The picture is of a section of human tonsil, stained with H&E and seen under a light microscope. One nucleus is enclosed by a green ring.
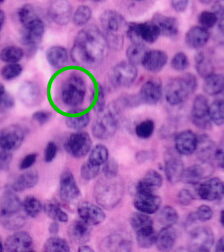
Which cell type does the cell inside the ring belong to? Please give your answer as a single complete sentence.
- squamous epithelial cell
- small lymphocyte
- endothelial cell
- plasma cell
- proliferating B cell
On this particular slide, the cell inside the ring is a proliferating B cell.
